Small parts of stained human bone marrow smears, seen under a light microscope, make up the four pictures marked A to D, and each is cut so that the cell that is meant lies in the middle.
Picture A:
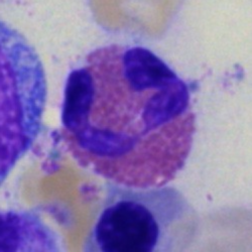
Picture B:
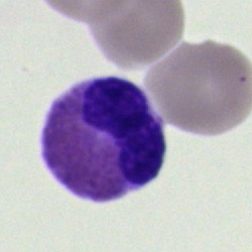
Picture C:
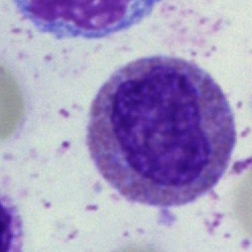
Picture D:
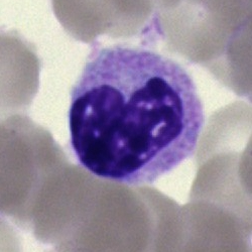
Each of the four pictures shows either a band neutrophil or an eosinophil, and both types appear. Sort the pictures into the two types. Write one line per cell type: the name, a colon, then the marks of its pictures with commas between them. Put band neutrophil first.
band neutrophil: D
eosinophil: A, B, C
